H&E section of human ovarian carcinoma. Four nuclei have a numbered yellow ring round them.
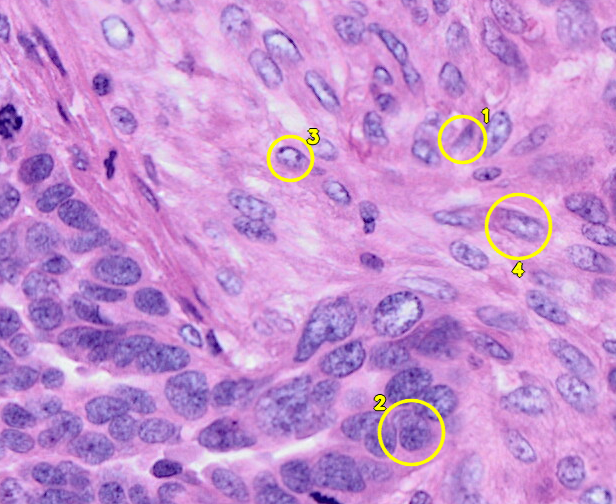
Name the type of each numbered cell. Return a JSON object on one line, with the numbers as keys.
{"1": "fibroblast", "2": "carcinoma cell", "3": "fibroblast", "4": "fibroblast"}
